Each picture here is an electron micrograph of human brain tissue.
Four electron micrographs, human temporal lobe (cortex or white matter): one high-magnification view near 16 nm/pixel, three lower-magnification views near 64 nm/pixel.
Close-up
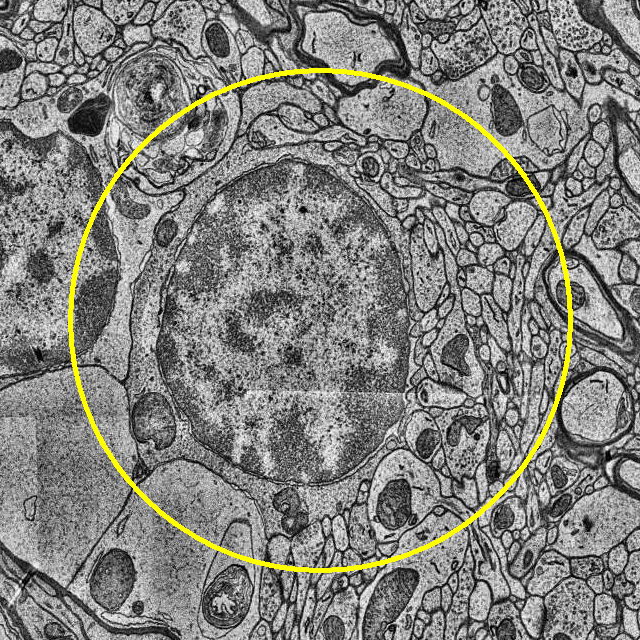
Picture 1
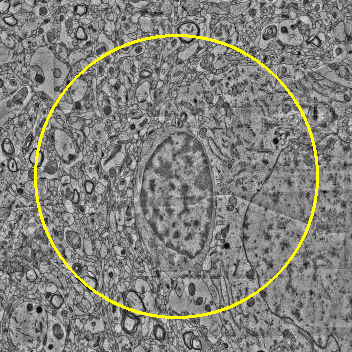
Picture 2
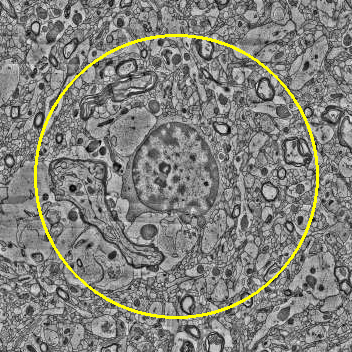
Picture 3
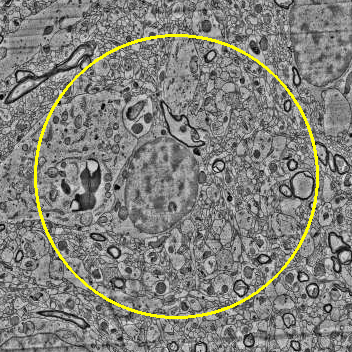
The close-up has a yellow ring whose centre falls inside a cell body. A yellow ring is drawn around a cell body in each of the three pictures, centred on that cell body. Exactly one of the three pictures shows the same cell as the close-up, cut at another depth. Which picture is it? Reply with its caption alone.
Picture 2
